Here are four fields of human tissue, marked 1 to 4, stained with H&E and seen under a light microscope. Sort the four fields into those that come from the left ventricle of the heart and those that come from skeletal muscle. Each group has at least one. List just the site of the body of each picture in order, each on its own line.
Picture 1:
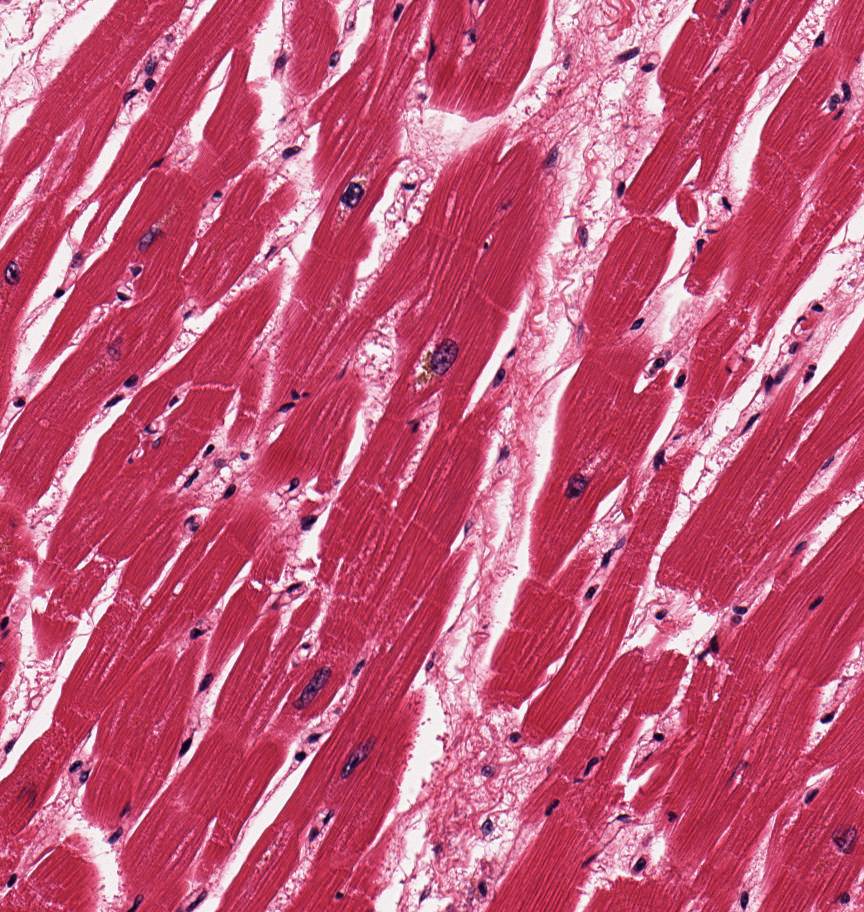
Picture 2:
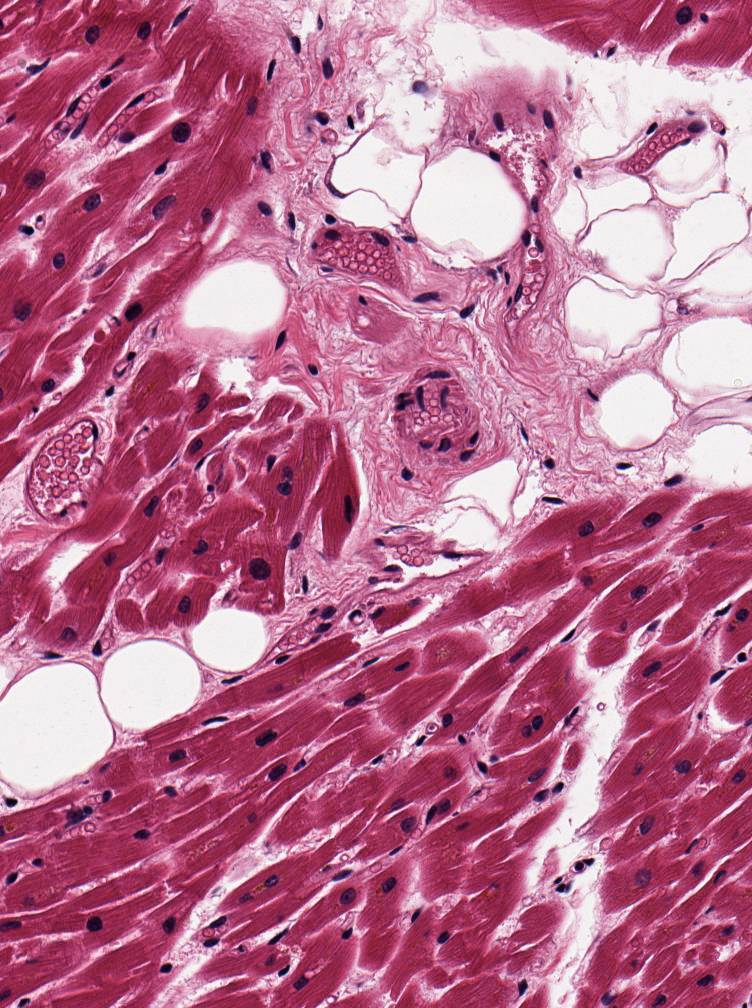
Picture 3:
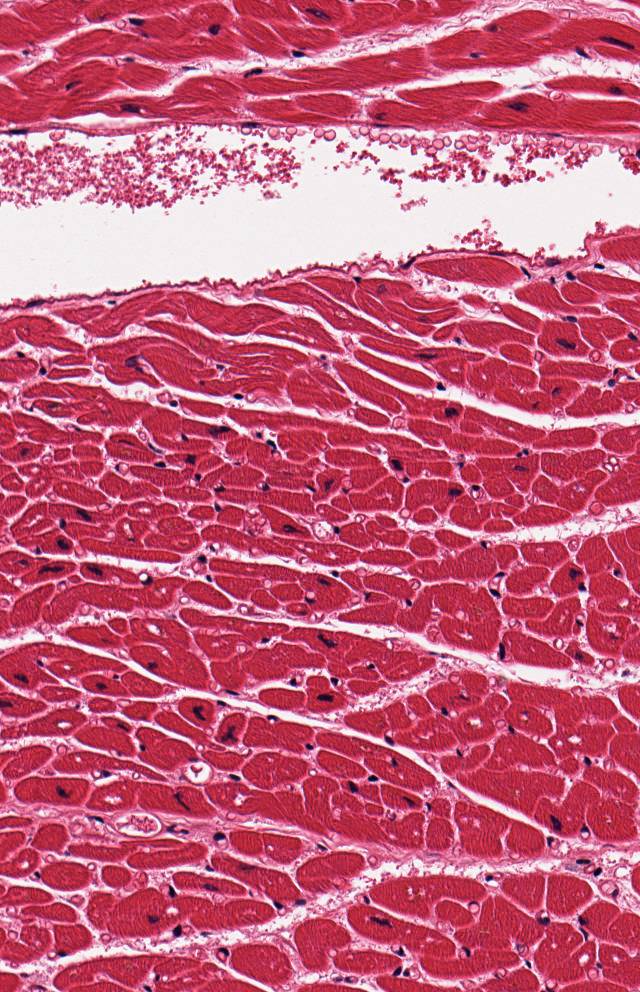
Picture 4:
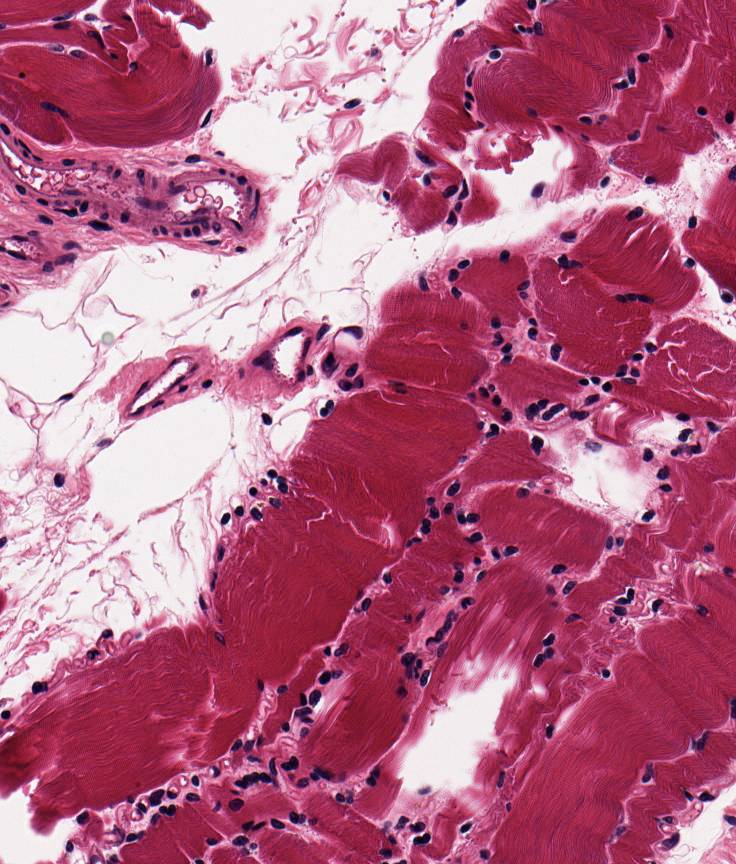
left ventricle of the heart
left ventricle of the heart
left ventricle of the heart
skeletal muscle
